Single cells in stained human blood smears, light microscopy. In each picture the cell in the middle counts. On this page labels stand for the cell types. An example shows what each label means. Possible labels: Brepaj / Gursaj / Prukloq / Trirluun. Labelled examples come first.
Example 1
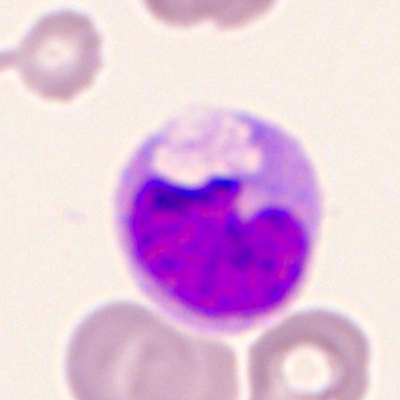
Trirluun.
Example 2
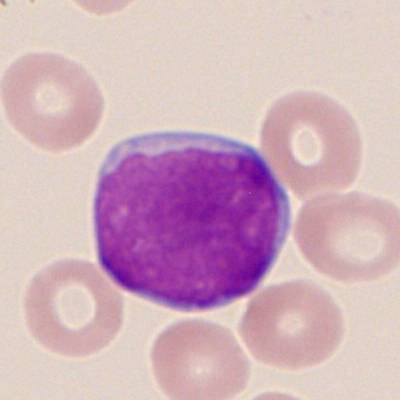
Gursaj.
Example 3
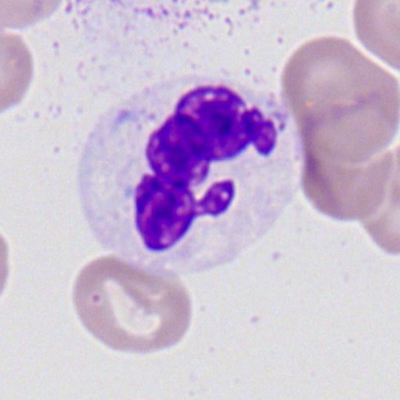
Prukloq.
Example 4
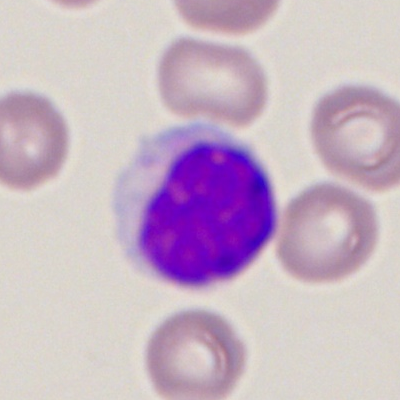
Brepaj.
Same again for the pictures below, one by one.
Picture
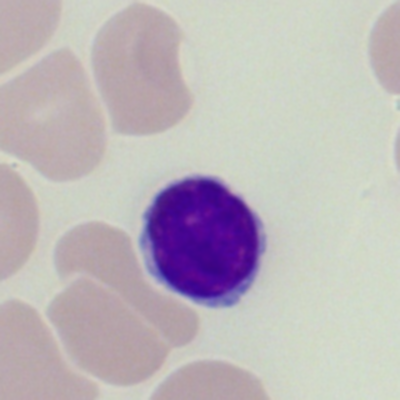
Brepaj.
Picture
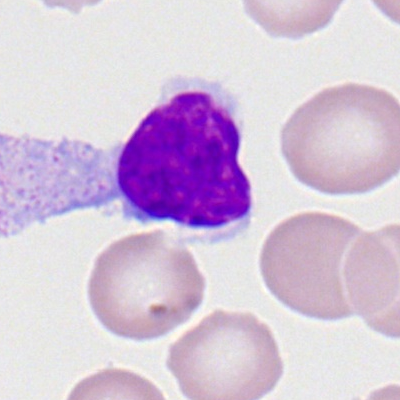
Brepaj.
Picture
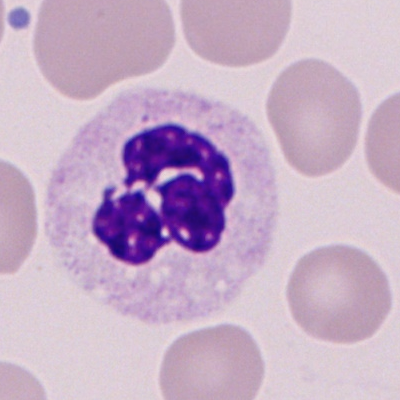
Prukloq.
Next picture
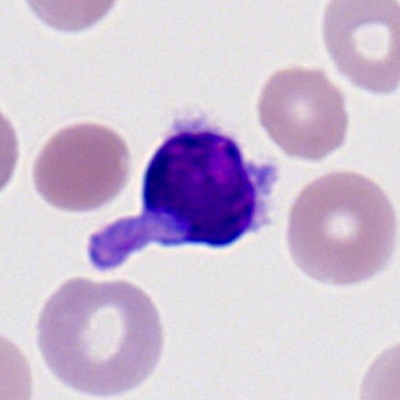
Brepaj.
